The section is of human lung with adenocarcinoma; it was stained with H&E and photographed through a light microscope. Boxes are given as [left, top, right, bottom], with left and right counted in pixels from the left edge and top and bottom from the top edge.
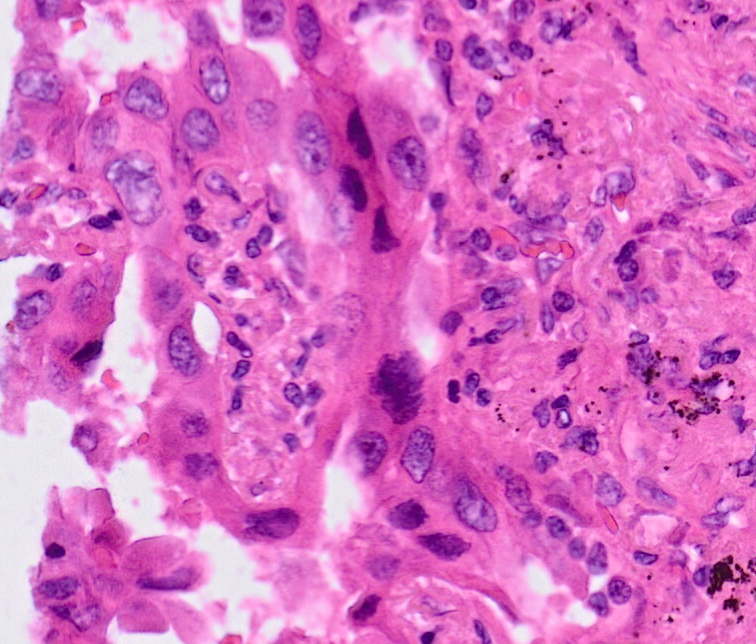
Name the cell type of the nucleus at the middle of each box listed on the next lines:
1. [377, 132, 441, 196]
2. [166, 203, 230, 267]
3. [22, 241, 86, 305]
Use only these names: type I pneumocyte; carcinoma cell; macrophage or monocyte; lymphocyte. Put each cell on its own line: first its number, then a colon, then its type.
1: carcinoma cell
2: lymphocyte
3: lymphocyte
